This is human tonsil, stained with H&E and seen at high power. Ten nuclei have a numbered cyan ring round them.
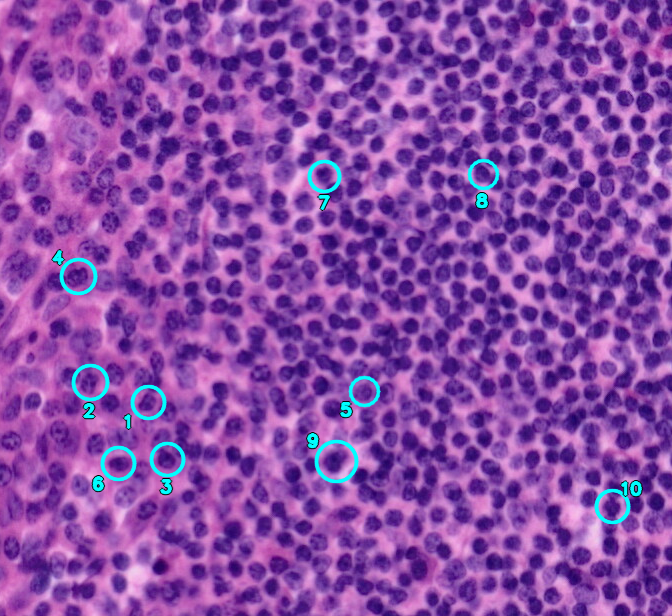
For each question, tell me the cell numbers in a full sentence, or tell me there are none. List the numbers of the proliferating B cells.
Of the cells bearing numbers, the only one that is a proliferating B cell is cell 9.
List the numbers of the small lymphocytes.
The cells numbered 5, 7, 8 and 10 fall into the category of small lymphocytes.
